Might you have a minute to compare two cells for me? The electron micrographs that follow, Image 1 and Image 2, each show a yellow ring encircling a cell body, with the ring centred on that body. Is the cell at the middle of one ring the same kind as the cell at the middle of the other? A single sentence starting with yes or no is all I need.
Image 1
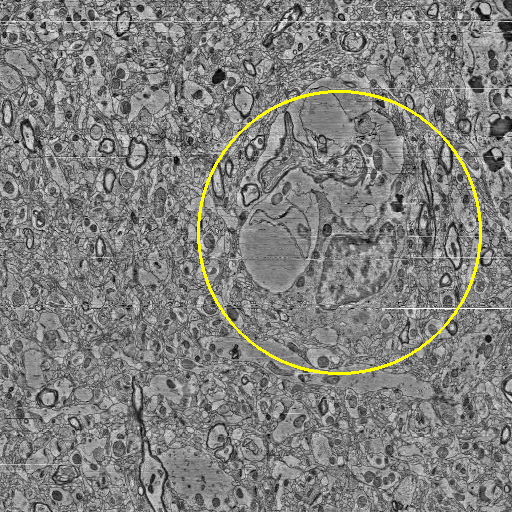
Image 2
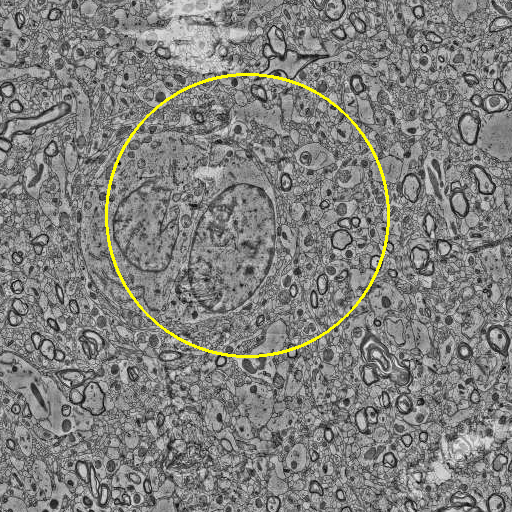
No, the cells in the middle of the two rings are of two separate kinds.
